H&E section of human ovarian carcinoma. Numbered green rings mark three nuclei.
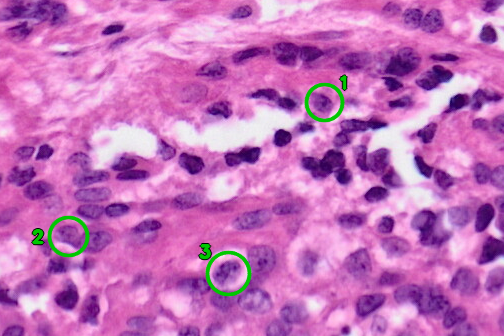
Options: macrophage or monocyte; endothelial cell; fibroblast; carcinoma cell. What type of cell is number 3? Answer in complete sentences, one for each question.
The cell indicated with the number 3 is classed as a macrophage or monocyte.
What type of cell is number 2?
In this section, the cell numbered 2 is a carcinoma cell.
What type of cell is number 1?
The cell that bears the number 1 is a macrophage or monocyte.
